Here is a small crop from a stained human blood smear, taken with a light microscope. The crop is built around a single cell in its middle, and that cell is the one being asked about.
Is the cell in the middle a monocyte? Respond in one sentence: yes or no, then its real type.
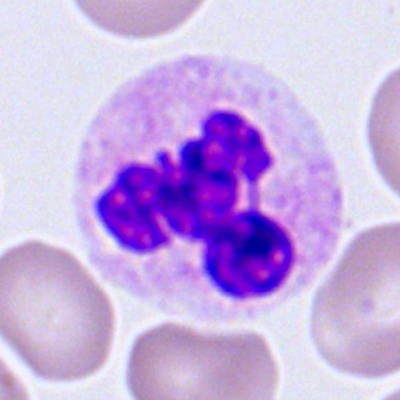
No, the cell occupying the centre is a segmented neutrophil, not a monocyte.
